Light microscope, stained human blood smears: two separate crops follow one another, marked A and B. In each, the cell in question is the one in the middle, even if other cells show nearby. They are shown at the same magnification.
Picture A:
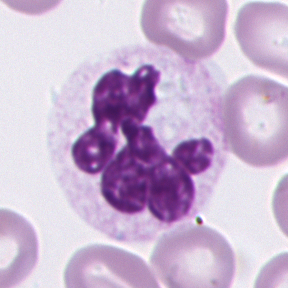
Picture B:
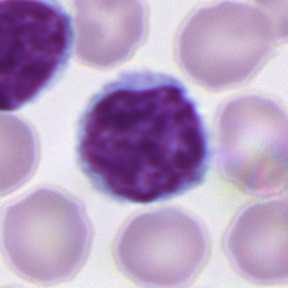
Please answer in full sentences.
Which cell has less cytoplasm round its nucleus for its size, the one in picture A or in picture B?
The nucleus fills more of the cell in picture B than in picture A.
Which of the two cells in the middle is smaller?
Picture B holds the smaller cell, since the cell in picture A covers about 2 times as much area.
